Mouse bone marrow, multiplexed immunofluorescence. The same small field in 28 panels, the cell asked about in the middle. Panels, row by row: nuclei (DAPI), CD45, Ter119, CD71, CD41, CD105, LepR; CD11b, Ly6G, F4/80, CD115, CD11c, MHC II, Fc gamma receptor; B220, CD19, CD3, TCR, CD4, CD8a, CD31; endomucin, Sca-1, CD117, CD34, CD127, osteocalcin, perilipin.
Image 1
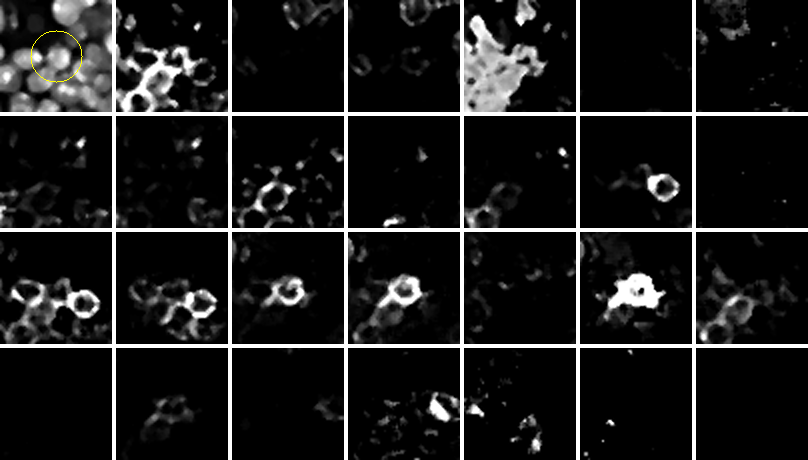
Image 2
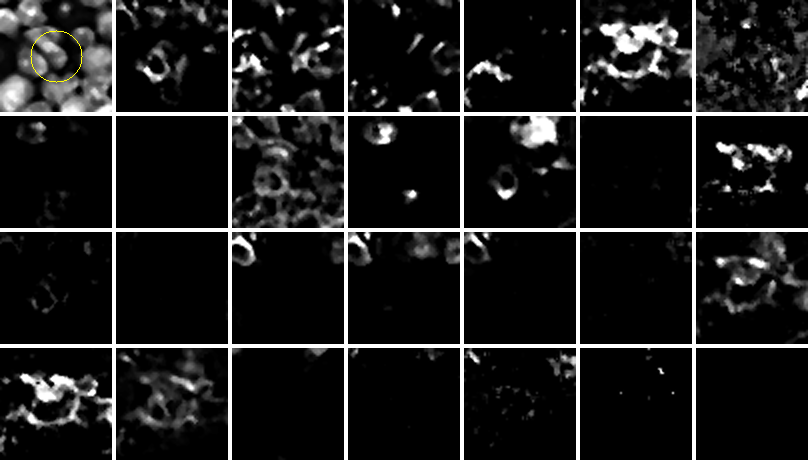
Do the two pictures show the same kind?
No: a CD8 T cell, then a capillary endothelial cell.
